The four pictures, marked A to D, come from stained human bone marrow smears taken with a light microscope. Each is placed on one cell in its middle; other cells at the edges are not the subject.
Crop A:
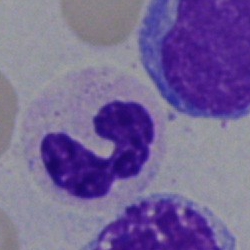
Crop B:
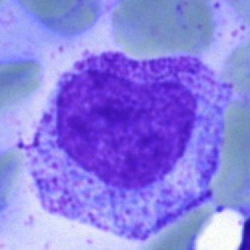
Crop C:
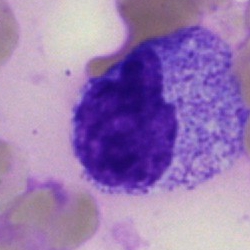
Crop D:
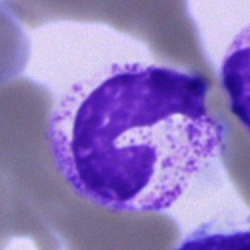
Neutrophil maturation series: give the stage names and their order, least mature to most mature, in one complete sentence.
Across the crops, maturity increases in the order crop B (a myelocyte), crop C (a metamyelocyte), crop D (a band neutrophil) and crop A (a segmented neutrophil).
